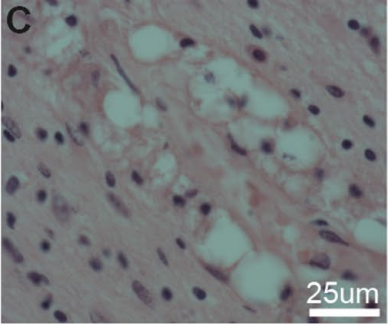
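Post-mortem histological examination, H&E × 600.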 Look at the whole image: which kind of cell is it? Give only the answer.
Foamy cells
